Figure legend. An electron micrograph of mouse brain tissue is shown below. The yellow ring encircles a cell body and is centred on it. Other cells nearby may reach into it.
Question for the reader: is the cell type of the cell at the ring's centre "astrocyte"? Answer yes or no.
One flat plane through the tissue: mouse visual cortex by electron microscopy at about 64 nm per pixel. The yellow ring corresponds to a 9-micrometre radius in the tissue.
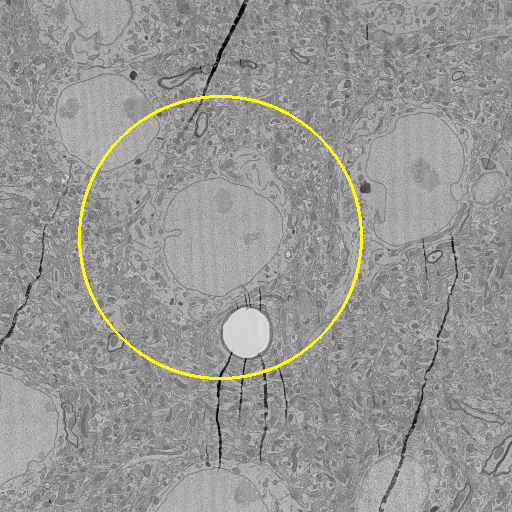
no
